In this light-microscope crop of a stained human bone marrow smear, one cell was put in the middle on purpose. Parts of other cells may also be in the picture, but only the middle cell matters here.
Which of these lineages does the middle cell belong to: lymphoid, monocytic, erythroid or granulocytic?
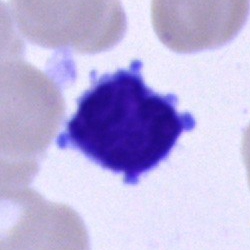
lymphoid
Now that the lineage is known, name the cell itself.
lymphocyte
